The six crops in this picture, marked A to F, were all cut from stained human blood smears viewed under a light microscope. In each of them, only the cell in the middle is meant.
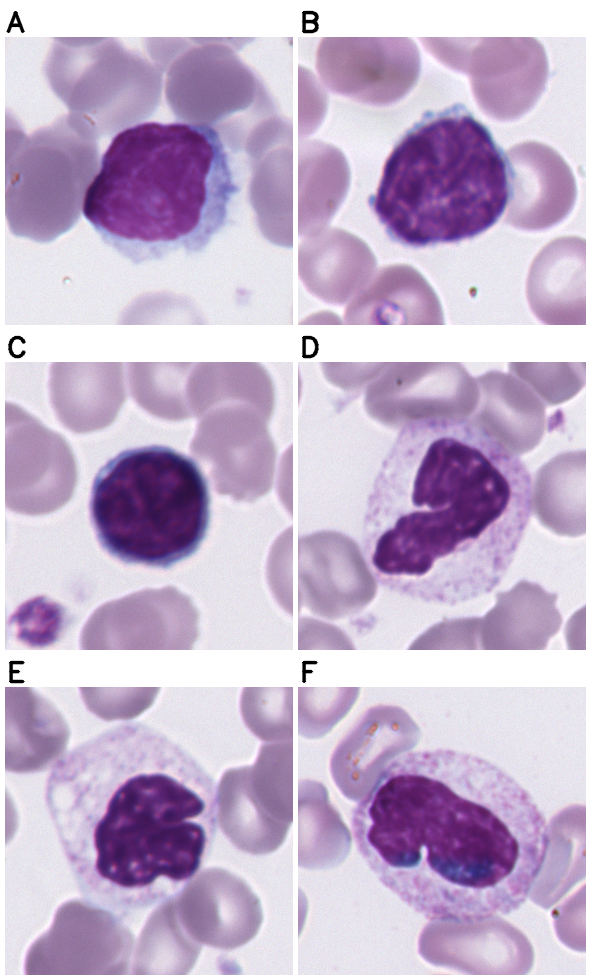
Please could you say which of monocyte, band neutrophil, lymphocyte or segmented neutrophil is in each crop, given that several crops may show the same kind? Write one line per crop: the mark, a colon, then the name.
A: lymphocyte
B: lymphocyte
C: lymphocyte
D: band neutrophil
E: band neutrophil
F: band neutrophil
